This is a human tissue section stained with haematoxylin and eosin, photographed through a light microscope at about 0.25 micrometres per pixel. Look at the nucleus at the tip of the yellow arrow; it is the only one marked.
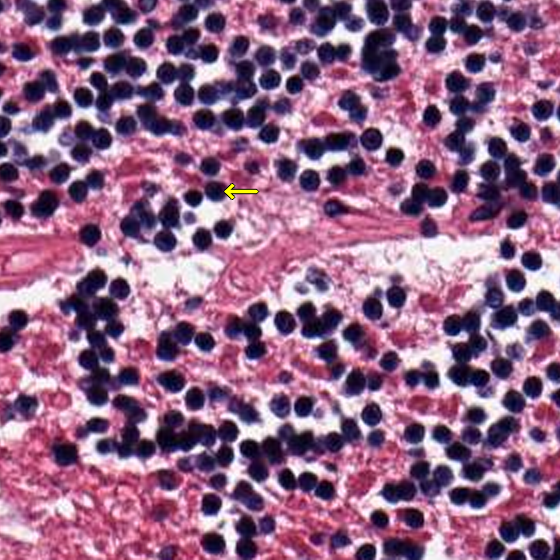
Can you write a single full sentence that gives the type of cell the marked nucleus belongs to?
The marked nucleus is identified as belonging to a cerebellar granule cell.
